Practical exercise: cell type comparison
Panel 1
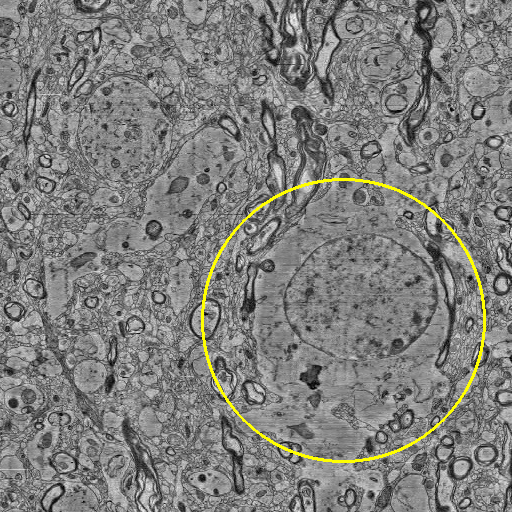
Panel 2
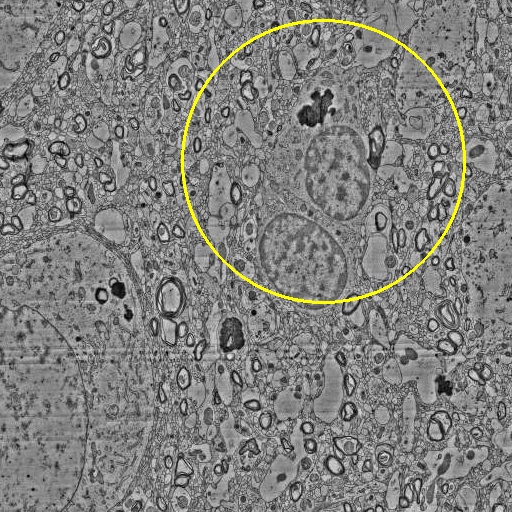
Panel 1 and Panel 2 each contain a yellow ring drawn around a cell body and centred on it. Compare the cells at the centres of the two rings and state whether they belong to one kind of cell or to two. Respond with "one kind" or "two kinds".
two kinds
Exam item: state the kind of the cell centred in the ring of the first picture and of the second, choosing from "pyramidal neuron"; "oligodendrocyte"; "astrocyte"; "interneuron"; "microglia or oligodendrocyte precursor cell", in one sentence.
The first picture shows an astrocyte at the ring centre and the second shows an oligodendrocyte.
